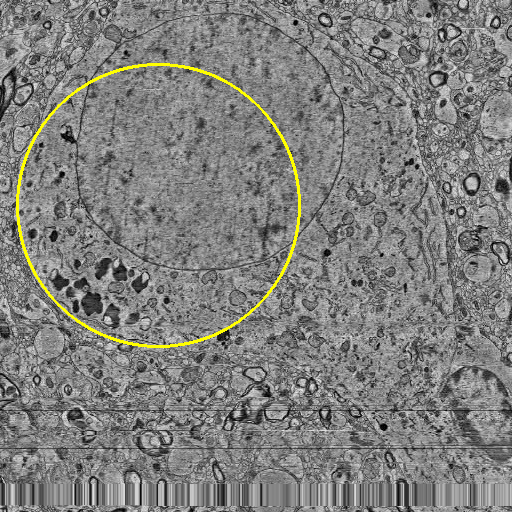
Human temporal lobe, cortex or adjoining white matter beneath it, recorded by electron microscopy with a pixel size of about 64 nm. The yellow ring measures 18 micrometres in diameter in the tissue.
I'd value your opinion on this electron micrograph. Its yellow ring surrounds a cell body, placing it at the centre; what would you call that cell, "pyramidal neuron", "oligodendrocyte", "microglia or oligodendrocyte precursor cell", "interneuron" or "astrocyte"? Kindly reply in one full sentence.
It is a pyramidal neuron that sits centred within the yellow ring in this micrograph.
